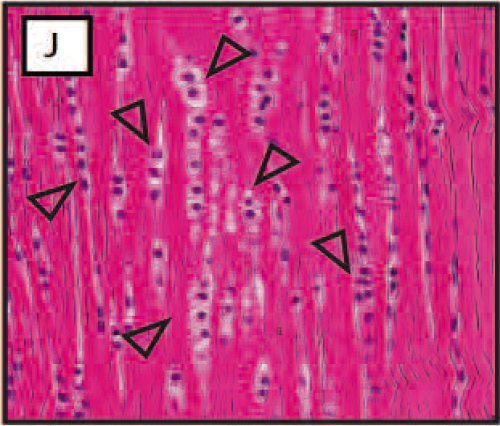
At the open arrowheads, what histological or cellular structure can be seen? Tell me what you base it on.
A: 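Rounded cells with dark nuclei lie in lines one above another. The lines run parallel to the pink fibrous matrix.
Conclusion: columns of chondrocytes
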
